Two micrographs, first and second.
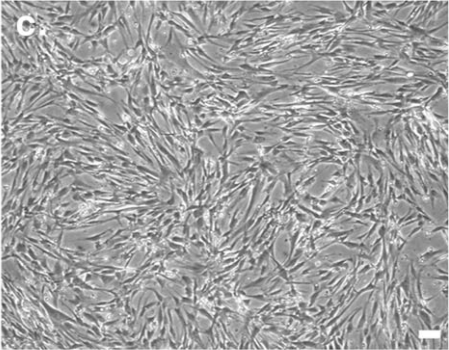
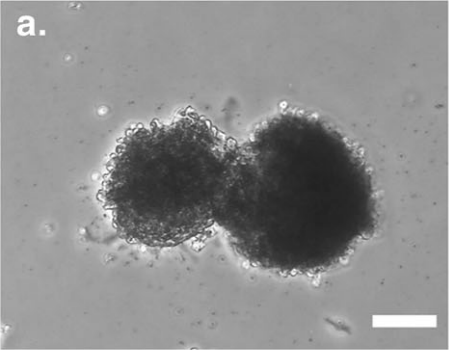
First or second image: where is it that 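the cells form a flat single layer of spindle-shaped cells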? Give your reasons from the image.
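First image: elongated spindle cells spread evenly across the whole field in one layer. Second image: cells are packed into round, dense three-dimensional clusters with no spread layer. So: the first image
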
